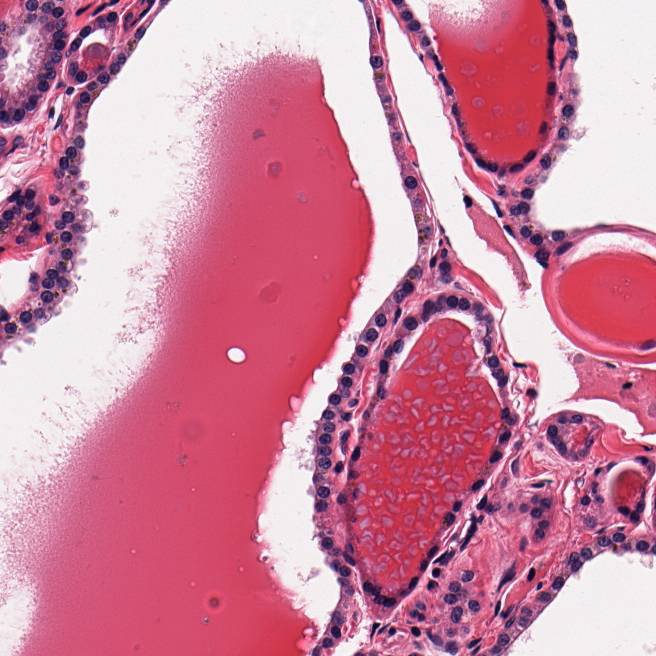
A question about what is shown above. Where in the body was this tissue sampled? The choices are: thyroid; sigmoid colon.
thyroid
